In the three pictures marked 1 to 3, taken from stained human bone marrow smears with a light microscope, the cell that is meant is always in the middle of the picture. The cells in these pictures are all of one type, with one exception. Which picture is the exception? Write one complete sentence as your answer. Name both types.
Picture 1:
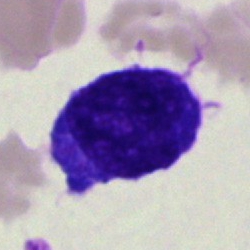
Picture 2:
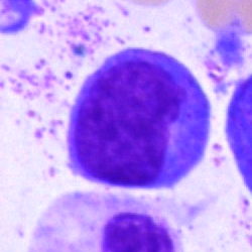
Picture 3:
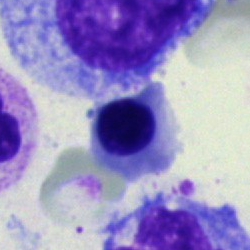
Picture 3 is the odd one out: it shows an erythroblast, while the others show blasts.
